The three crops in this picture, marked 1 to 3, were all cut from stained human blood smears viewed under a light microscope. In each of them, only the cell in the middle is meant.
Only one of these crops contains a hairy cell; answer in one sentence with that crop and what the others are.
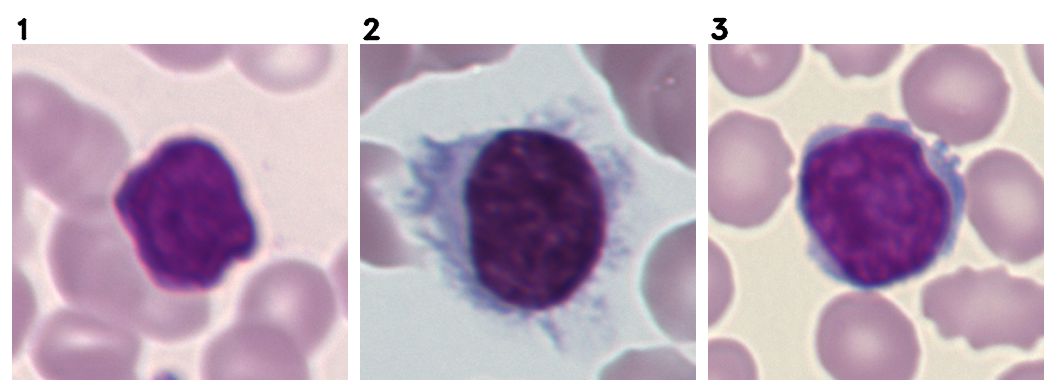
Crop 2 corresponds to a hairy cell, while crop 1 is a smudge cell and crop 3 is a typical lymphocyte.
